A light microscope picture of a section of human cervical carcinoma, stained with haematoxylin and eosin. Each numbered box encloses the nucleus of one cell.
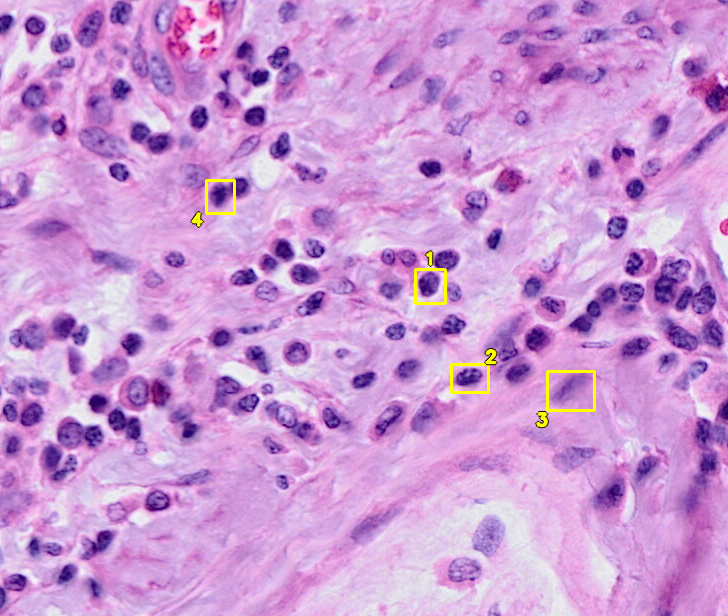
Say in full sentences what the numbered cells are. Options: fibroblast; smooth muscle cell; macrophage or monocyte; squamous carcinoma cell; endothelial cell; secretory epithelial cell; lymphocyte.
Cell 1 is a lymphocyte, cell 2 is a lymphocyte, cell 3 is a fibroblast and cell 4 is a lymphocyte.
